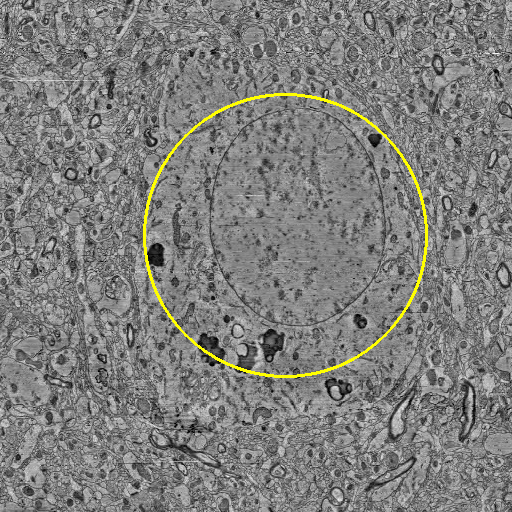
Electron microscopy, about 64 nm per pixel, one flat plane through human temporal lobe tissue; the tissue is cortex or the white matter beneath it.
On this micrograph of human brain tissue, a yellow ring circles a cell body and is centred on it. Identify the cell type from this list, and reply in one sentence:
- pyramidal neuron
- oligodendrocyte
The cell at the centre is a pyramidal neuron.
